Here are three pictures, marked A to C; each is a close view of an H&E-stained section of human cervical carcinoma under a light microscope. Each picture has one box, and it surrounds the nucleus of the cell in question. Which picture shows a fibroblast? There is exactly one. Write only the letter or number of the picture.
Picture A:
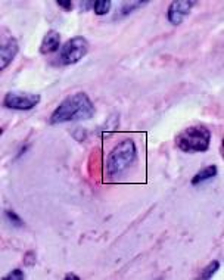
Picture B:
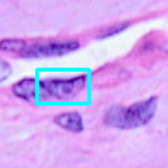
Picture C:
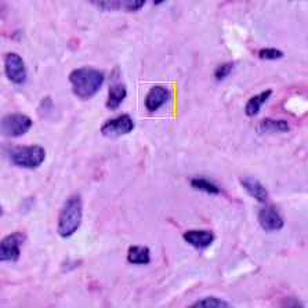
C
